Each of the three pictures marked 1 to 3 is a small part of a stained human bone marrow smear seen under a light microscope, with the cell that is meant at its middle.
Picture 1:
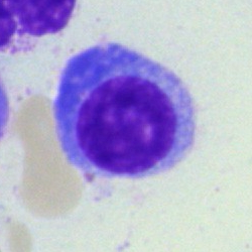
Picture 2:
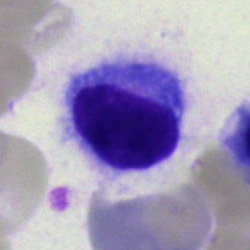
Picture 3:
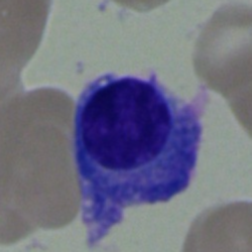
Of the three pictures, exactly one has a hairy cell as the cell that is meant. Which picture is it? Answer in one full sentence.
Picture 2 is the one that shows the hairy cell.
